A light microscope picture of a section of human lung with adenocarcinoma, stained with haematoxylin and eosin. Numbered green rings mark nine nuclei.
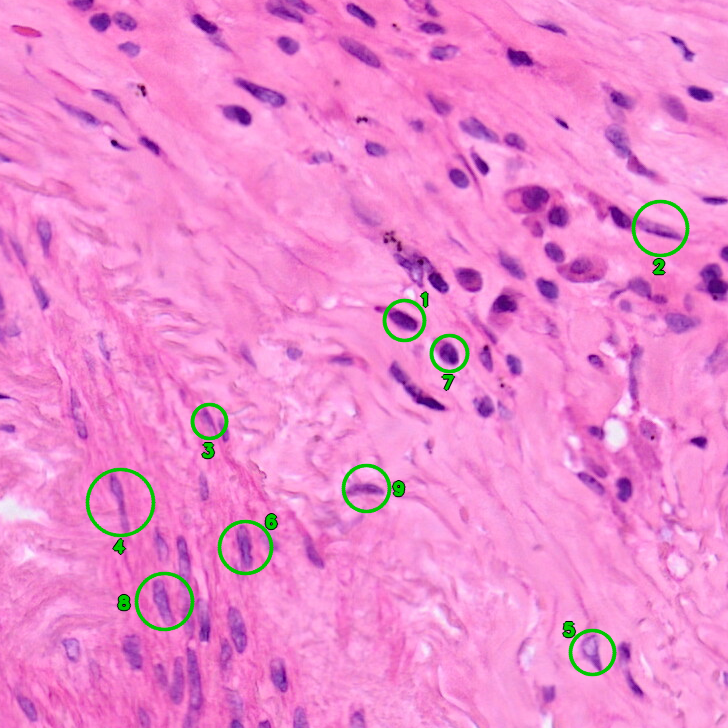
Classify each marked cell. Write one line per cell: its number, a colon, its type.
1: plasma cell
2: fibroblast
3: smooth muscle cell or pericyte
4: smooth muscle cell or pericyte
5: fibroblast
6: smooth muscle cell or pericyte
7: plasma cell
8: smooth muscle cell or pericyte
9: fibroblast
